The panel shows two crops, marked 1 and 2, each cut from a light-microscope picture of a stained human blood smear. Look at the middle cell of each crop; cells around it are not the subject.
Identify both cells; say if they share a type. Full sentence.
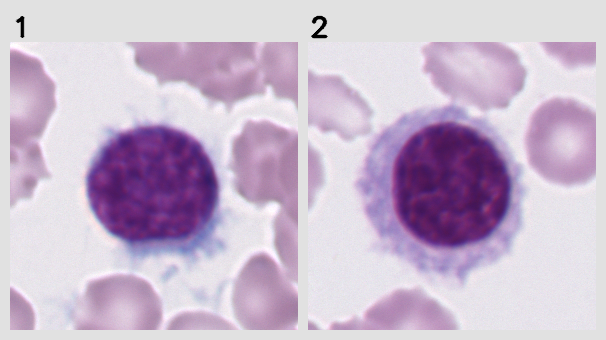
Yes, both crops show hairy cells, each crop centred on one of them.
